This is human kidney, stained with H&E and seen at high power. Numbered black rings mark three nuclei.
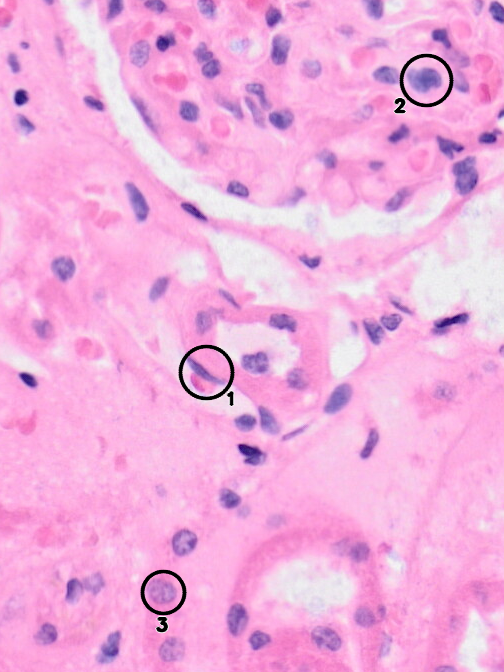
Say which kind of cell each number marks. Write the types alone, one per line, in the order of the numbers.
endothelial cell
endothelial cell
proximal tubule cell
